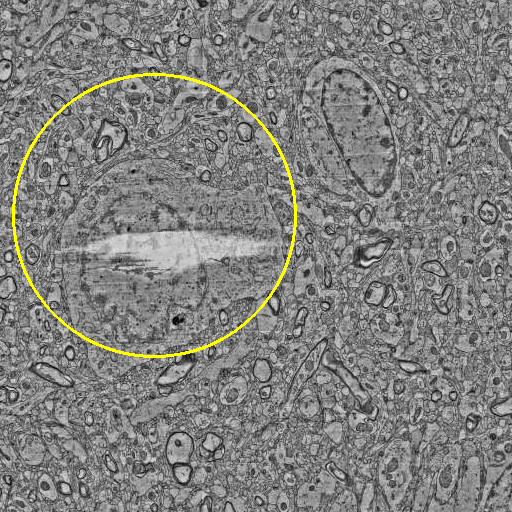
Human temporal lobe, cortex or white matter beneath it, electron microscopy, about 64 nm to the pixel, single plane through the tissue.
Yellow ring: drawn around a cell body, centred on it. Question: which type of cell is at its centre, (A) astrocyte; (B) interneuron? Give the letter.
B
